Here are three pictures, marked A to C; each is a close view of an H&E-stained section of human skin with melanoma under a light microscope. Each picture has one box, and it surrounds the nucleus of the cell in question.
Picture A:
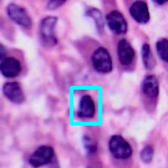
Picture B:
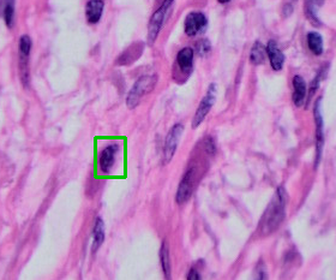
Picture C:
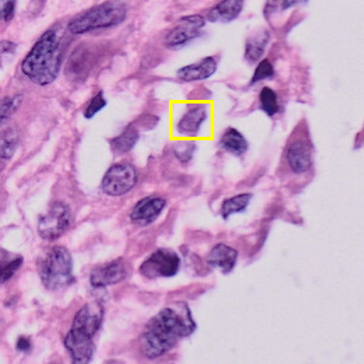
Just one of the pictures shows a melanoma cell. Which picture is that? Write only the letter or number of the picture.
C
